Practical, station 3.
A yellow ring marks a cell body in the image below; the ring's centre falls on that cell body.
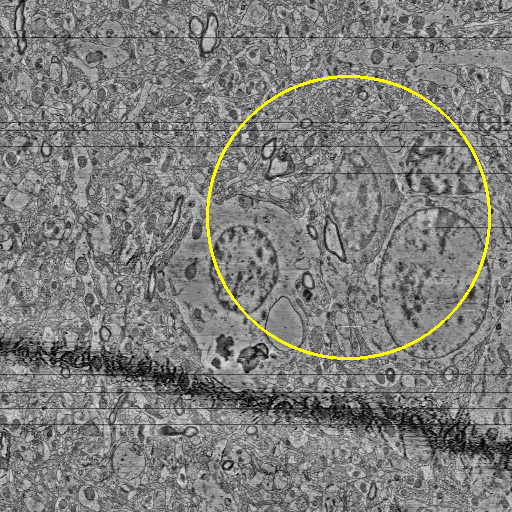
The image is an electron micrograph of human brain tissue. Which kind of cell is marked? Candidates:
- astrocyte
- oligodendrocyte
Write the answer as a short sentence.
The marked cell body is that of an oligodendrocyte.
